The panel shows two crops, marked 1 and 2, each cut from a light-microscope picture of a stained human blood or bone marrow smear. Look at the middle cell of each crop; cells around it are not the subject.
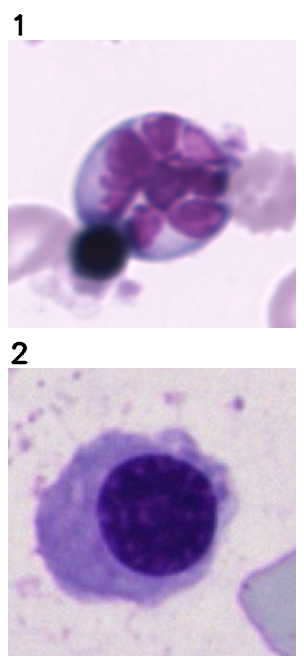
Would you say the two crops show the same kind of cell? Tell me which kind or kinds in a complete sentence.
No, crop 1 carries a lymphocyte and crop 2 carries an erythroblast.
